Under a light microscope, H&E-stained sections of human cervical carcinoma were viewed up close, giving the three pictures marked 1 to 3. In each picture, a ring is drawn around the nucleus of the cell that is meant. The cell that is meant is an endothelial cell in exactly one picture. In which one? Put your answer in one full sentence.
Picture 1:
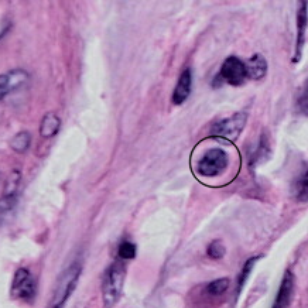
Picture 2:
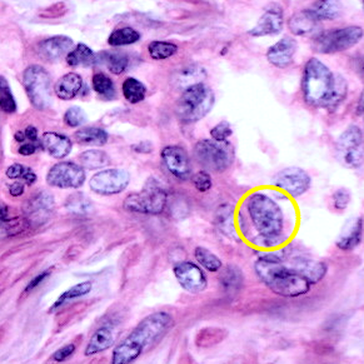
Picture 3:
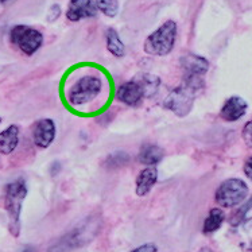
It is picture 2 that shows the endothelial cell.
